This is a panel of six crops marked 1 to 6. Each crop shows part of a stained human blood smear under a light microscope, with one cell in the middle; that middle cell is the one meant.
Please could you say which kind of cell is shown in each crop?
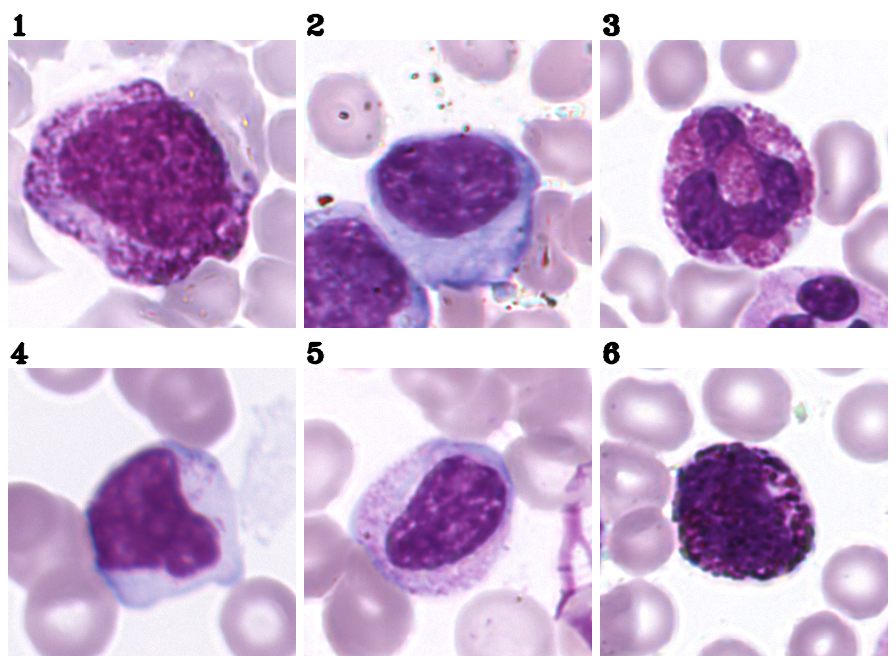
1: promyelocyte
2: plasma cell
3: eosinophil
4: large granular lymphocyte
5: metamyelocyte
6: basophil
